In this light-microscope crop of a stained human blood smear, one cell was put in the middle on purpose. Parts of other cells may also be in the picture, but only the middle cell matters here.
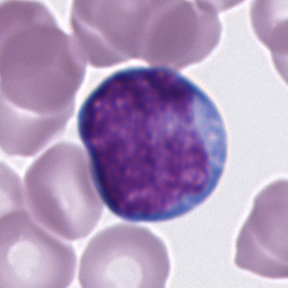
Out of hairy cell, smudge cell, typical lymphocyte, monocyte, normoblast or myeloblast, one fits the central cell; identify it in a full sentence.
The cell in the middle of the field of view is a myeloblast.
